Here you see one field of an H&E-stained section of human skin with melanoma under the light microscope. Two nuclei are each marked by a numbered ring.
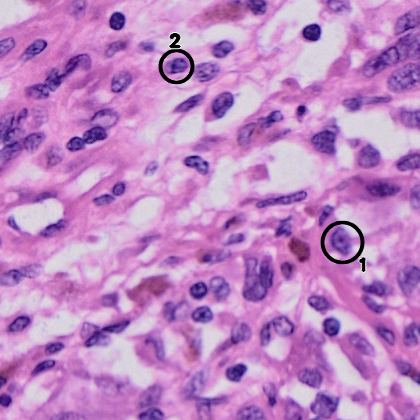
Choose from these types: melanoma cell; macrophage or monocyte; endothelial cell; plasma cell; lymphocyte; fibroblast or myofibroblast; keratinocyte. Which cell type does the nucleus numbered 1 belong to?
melanoma cell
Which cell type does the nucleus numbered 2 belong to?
lymphocyte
